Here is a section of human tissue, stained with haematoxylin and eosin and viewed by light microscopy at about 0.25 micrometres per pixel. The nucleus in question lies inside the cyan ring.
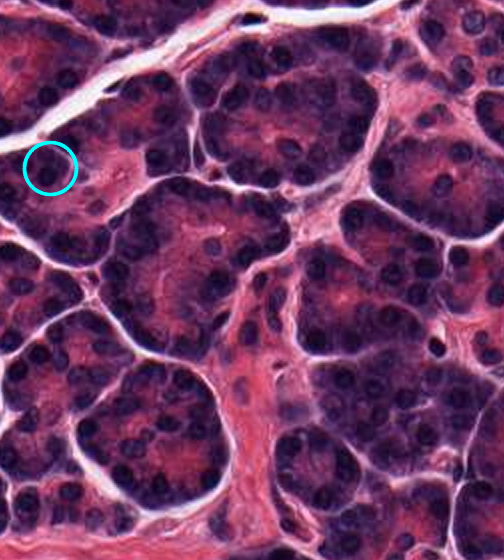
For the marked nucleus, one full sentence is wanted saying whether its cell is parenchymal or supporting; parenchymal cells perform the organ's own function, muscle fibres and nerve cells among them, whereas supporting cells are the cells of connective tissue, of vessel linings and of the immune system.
The marked nucleus belongs to a parenchymal cell, namely a pancreatic acinar cell.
